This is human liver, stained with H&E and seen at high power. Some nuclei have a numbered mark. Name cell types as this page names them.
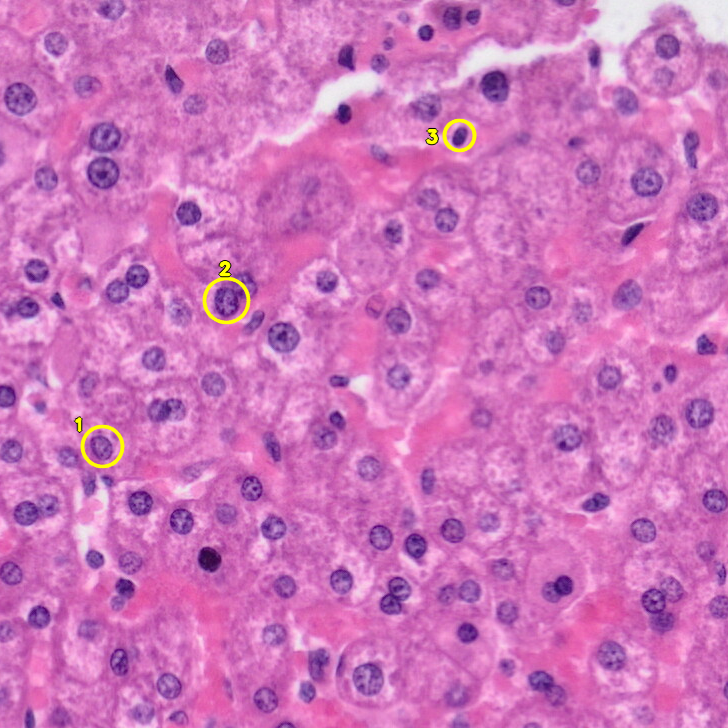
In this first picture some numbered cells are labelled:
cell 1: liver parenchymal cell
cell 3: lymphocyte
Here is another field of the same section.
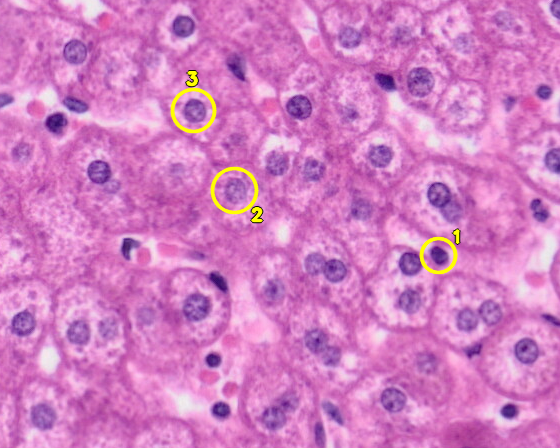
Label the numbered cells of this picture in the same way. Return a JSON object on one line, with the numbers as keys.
{"1": "lymphocyte", "2": "liver parenchymal cell", "3": "liver parenchymal cell"}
